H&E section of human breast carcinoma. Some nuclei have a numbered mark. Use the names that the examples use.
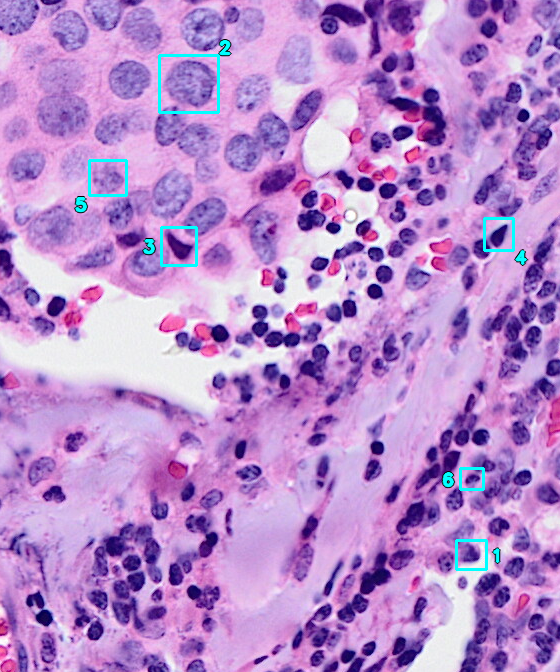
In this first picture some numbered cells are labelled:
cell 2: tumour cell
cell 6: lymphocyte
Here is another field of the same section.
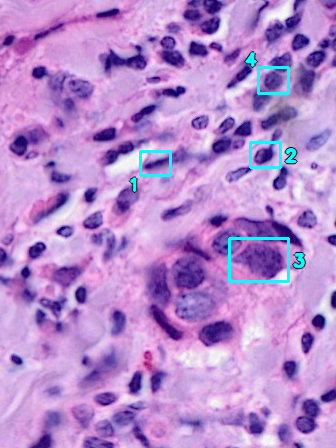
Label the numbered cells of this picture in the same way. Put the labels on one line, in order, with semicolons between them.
lymphocyte; lymphocyte; tumour cell; lymphocyte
